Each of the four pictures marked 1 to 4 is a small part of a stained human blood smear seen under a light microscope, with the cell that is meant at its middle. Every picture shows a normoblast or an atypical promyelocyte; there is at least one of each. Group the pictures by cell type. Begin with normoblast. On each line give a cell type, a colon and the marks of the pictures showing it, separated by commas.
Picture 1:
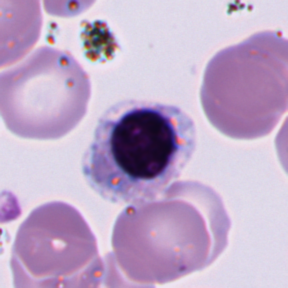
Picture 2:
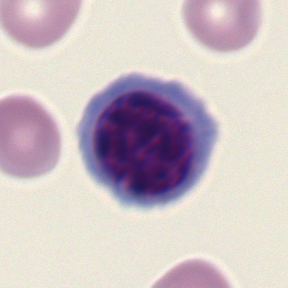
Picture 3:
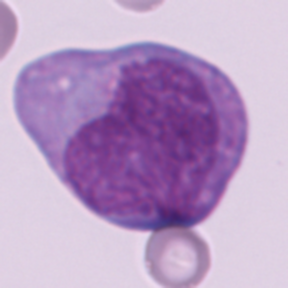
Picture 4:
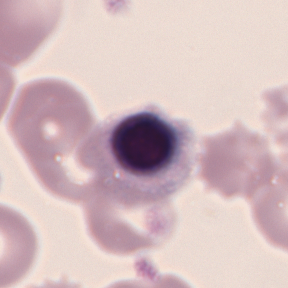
normoblast: 1, 2, 4
atypical promyelocyte: 3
